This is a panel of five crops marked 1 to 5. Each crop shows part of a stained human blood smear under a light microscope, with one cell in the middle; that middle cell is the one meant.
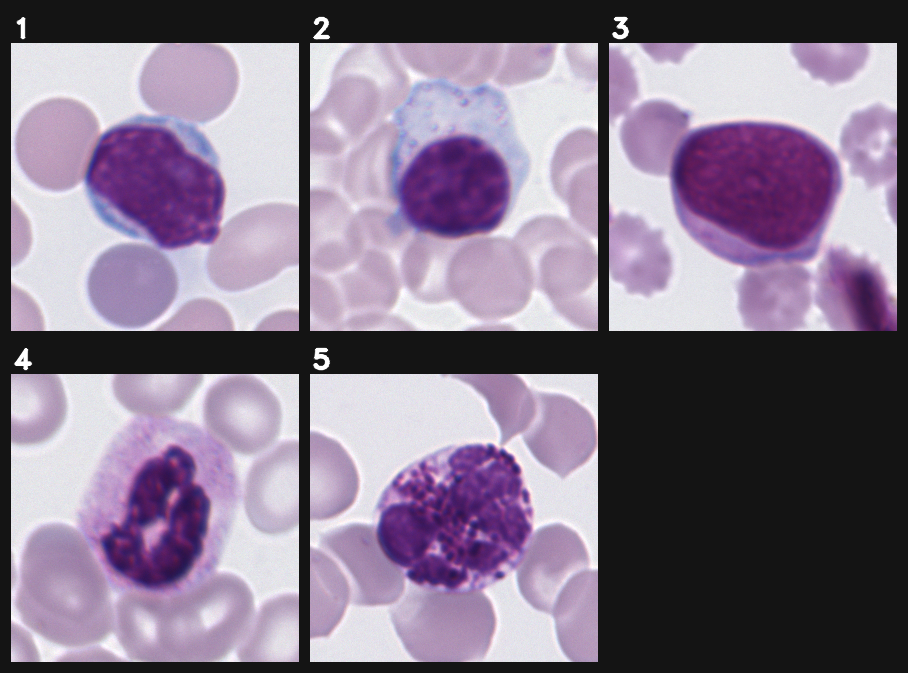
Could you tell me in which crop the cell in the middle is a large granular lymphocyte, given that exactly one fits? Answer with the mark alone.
2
